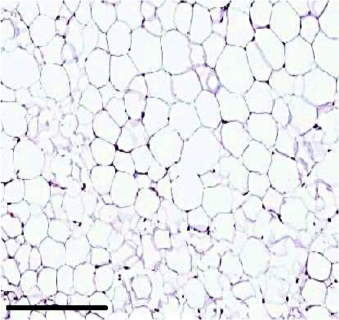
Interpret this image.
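White adipose tissue made of tightly packed adipocytes, each appearing as a clear, empty space outlined by a thin purple-stained membrane rim. The cells are round to polygonal and fairly uniform and small, forming a fine honeycomb pattern across the field.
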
